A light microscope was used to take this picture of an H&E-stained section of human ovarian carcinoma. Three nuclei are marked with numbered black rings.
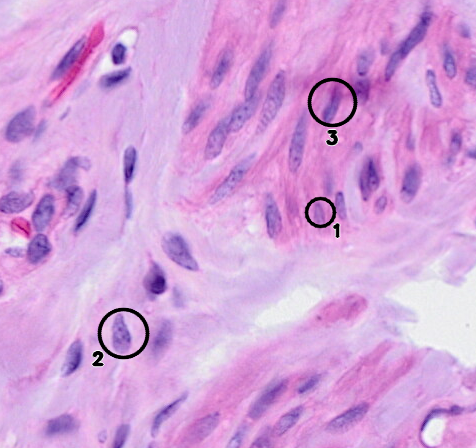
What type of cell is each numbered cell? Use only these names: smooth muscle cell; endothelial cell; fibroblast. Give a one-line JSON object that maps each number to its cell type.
{"1": "smooth muscle cell", "2": "fibroblast", "3": "smooth muscle cell"}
